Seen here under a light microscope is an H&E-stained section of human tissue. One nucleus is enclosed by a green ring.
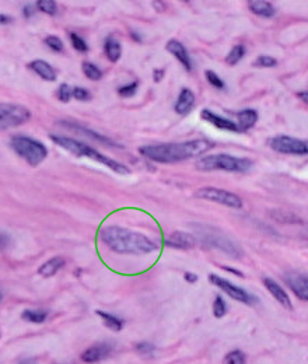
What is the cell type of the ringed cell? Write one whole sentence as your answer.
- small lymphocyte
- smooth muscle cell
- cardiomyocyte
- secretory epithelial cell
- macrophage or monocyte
Cytologically, the ringed cell is to be regarded as a smooth muscle cell.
